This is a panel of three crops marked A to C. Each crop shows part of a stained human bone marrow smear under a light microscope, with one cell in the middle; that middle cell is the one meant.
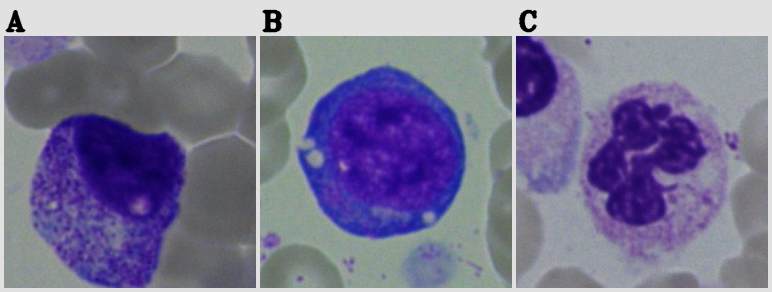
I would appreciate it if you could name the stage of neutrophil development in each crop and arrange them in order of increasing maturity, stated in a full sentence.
Ordered least to most mature, the series reads crop B (a promyelocyte), crop A (a myelocyte) and crop C (a segmented neutrophil).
